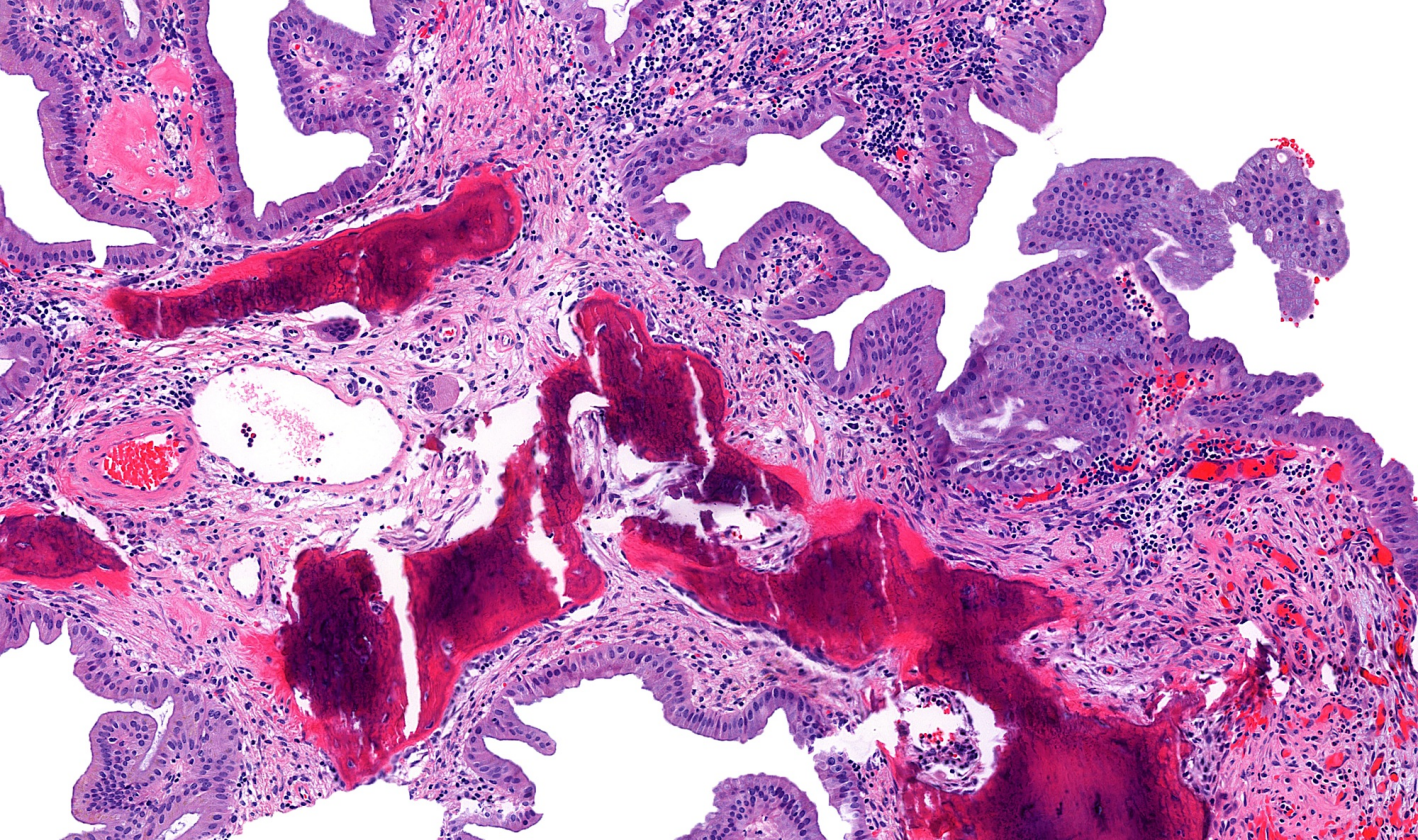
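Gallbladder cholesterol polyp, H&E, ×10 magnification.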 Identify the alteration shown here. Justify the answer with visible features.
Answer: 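Irregular, elongated trabeculae of dense, deep red-purple matrix lie within the stroma of the polyp. The matrix masses are cracked, and they are rimmed by a brighter pink edge. The surface is lined by columnar epithelium forming papillary fronds, unlike bone tissue.
Answer: osseous metaplasia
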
